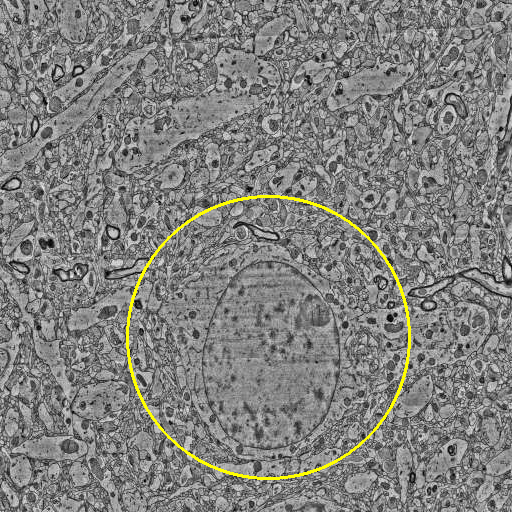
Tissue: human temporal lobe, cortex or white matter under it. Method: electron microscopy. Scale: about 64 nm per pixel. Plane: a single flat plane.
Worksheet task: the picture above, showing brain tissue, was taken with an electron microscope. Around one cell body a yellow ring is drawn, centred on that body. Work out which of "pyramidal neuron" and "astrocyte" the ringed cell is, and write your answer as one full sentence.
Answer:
It is a pyramidal neuron whose cell body lies at the centre of the yellow ring.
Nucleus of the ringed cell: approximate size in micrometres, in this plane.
In this plane, the nucleus is roughly 12 by 9 micrometres.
